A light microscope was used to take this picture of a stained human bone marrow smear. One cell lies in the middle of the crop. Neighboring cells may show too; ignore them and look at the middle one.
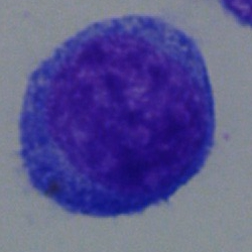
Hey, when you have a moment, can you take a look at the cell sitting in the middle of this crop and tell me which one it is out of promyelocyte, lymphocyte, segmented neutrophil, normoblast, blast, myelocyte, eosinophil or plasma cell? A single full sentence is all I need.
Looking at the middle of the crop, the cell there is a blast.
